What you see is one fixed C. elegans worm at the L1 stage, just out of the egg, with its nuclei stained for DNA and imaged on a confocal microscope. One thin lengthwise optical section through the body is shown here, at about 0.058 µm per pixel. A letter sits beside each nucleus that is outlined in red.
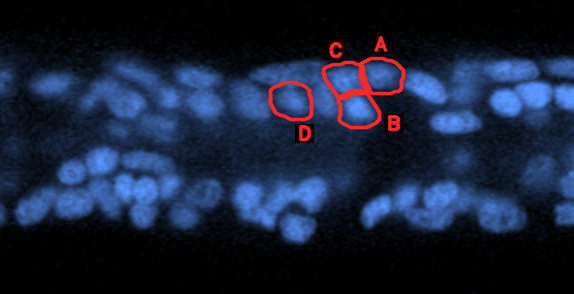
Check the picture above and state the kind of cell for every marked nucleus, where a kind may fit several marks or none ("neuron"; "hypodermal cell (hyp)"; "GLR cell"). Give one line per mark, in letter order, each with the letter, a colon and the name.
A: neuron
B: GLR cell
C: neuron
D: neuron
